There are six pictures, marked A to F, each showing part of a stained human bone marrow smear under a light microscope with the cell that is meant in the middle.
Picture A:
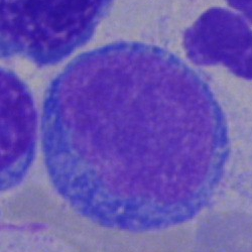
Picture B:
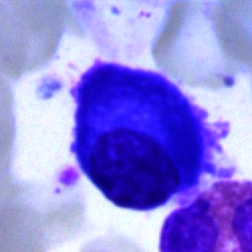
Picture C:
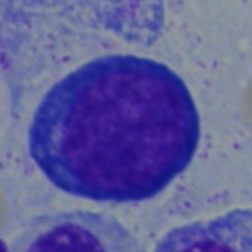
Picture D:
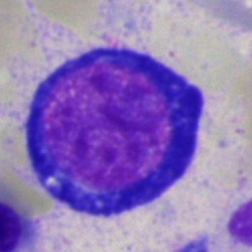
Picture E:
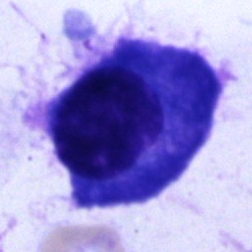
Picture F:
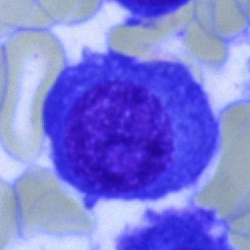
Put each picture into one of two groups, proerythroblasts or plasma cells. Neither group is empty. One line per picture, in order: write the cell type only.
proerythroblast
plasma cell
proerythroblast
proerythroblast
plasma cell
plasma cell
